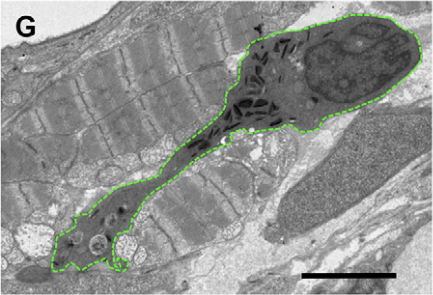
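A slender, elongated white blood cell lies wedged between striated muscle fibres. Its oval nucleus with peripheral dark chromatin sits at one broad end; the cytoplasm is dark and packed with numerous elongated, rod- or cigar-shaped electron-dense granules, and tapers into a long tail-like extension with a few small vesicles. The neighbouring muscle fibres show regular transverse banding of parallel myofibrils, giving a striped pattern.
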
